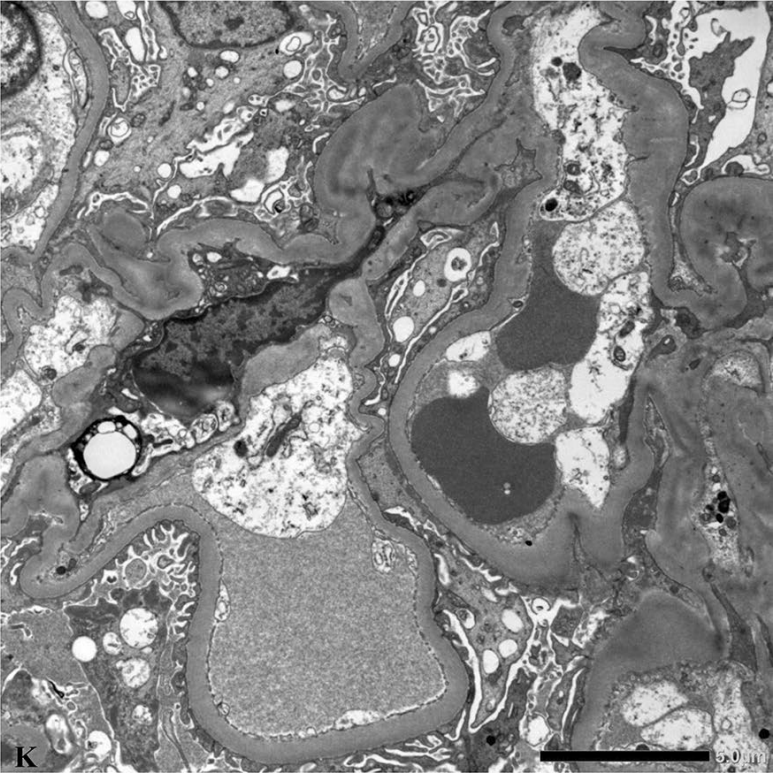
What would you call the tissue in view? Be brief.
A: glomerulus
